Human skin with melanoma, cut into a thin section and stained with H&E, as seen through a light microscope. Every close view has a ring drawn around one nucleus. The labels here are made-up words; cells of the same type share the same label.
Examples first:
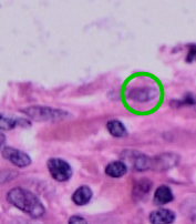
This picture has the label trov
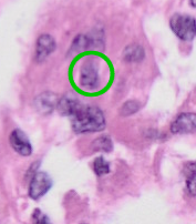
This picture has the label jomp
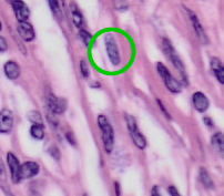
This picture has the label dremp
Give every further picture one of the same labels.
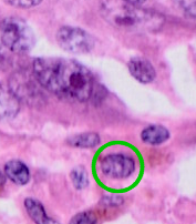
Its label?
trov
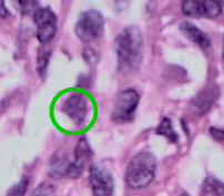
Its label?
jomp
